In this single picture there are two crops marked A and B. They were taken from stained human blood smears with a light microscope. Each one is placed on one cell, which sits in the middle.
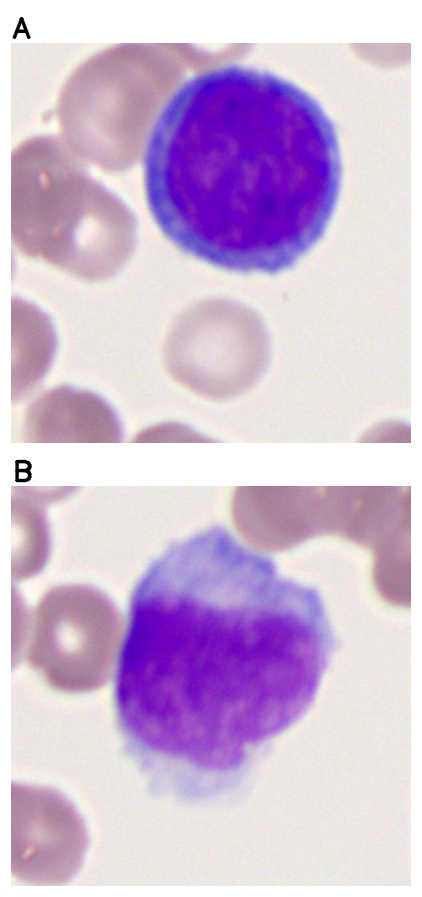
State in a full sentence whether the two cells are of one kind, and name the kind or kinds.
No, it is crop A that shows a myeloblast, and crop B shows a monocyte.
